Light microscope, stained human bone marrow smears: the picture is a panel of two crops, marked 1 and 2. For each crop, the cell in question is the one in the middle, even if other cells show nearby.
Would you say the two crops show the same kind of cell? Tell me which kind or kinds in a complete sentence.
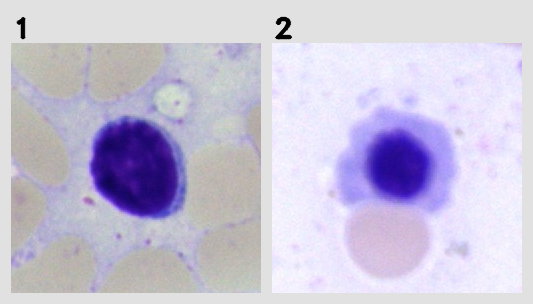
No, crop 2 centres on a normoblast, and crop 1 centres on a lymphocyte.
